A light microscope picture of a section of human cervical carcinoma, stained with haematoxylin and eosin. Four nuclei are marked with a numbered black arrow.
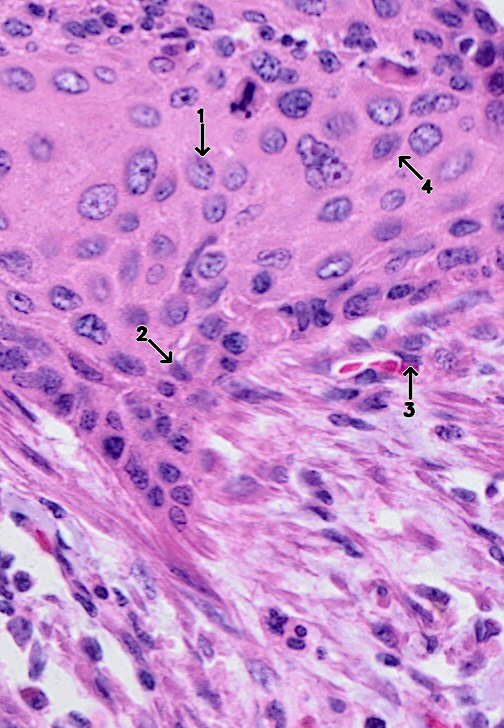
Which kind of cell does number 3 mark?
endothelial cell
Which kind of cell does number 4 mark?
squamous carcinoma cell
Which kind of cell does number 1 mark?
squamous carcinoma cell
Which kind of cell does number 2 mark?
squamous carcinoma cell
